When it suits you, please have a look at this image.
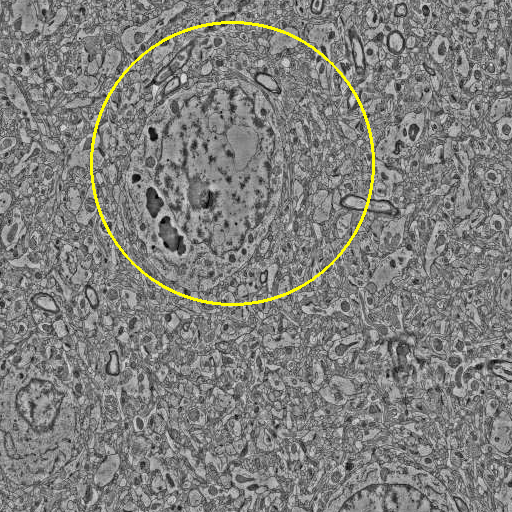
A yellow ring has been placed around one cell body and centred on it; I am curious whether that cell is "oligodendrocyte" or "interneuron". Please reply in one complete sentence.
The ringed cell, an interneuron, has its body at the centre of the yellow ring.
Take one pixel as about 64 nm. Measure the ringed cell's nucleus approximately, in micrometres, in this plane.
Approximately 10 by 8 micrometers in this plane.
